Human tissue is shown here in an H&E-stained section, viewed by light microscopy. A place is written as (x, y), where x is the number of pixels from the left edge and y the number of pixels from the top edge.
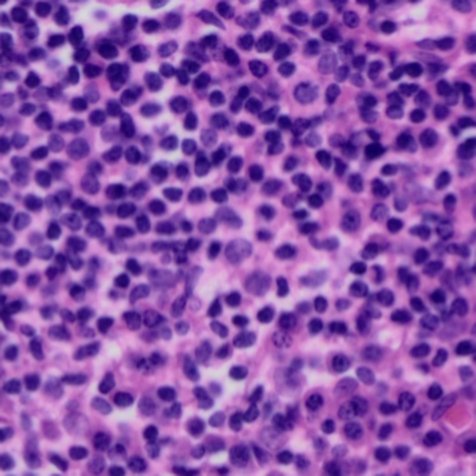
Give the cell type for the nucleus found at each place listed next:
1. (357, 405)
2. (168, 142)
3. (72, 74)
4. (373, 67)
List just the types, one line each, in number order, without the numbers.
plasma cell
small lymphocyte
small lymphocyte
small lymphocyte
